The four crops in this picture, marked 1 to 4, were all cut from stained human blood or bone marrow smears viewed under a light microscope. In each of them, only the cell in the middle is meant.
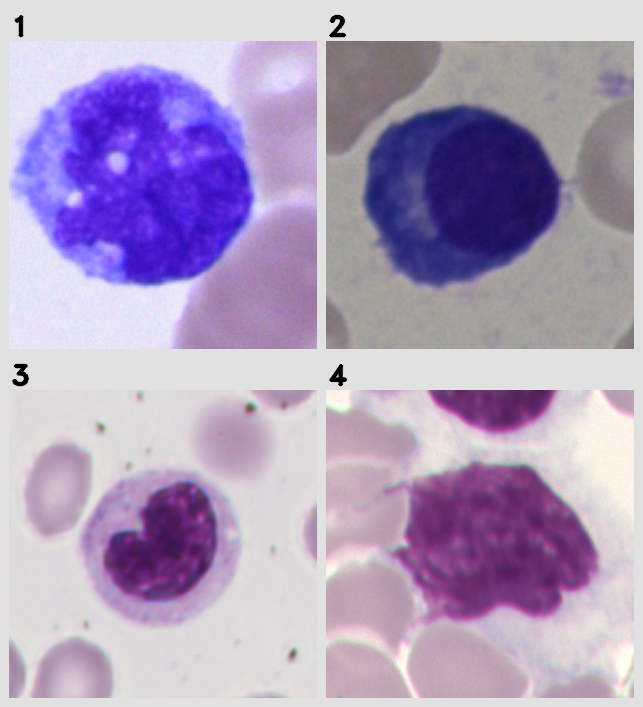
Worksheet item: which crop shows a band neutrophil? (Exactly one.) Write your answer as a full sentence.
The crop marked 3 is the one that shows a band neutrophil.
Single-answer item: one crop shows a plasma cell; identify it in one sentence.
Here the crop that shows a plasma cell is crop 2.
